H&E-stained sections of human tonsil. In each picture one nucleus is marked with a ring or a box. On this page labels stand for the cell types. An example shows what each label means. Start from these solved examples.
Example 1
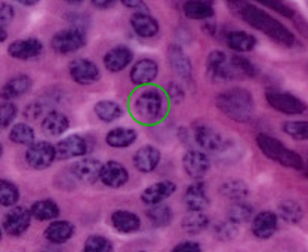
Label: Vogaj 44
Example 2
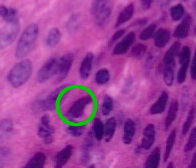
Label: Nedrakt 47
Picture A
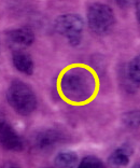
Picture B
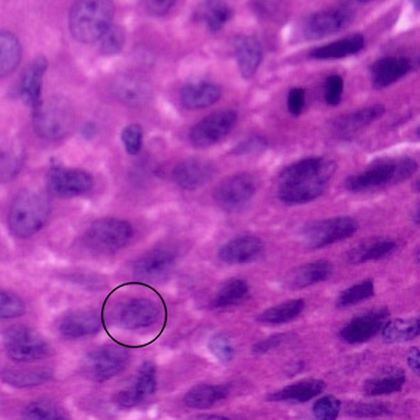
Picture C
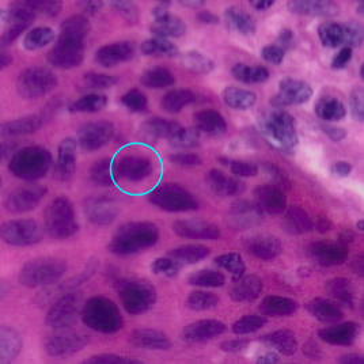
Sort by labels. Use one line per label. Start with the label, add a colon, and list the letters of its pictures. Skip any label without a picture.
Nedrakt 47: A, B, C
